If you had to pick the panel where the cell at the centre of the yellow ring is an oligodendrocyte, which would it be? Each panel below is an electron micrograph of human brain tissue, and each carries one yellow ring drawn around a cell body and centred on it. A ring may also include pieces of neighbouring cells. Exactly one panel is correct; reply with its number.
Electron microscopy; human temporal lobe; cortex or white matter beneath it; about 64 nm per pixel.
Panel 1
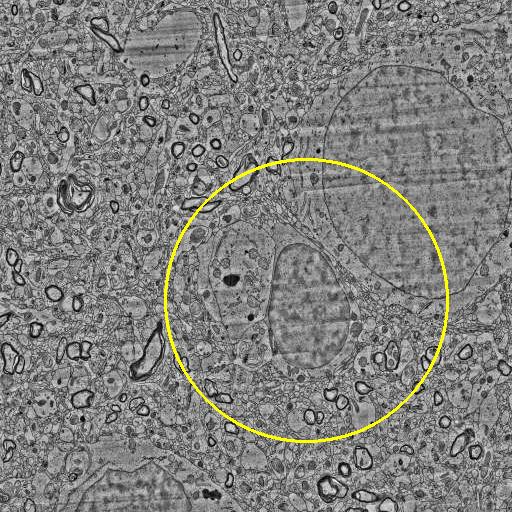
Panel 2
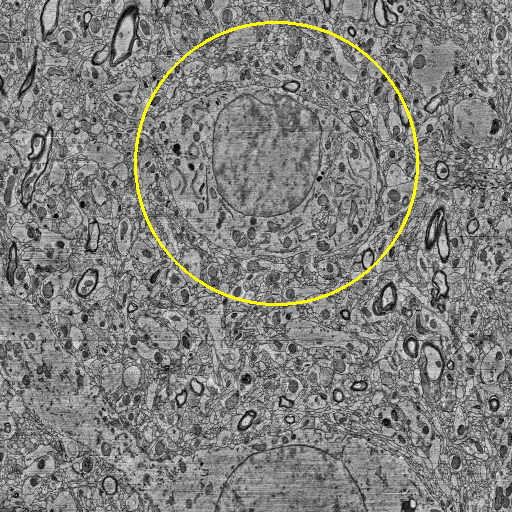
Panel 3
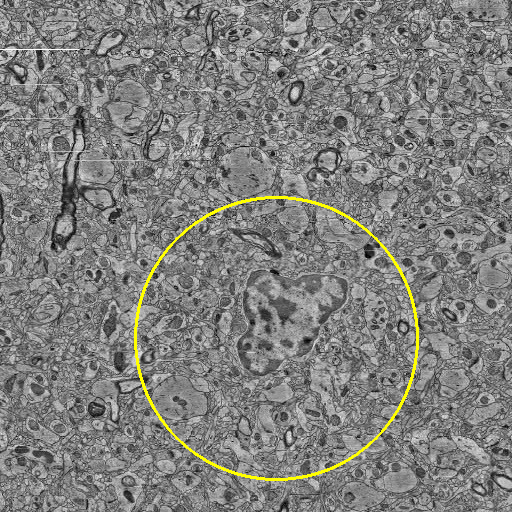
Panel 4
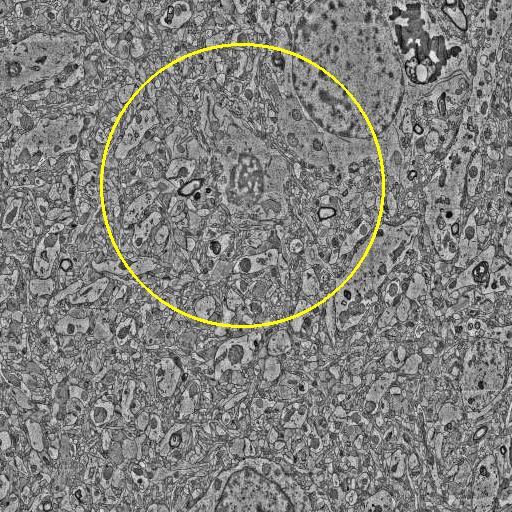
1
